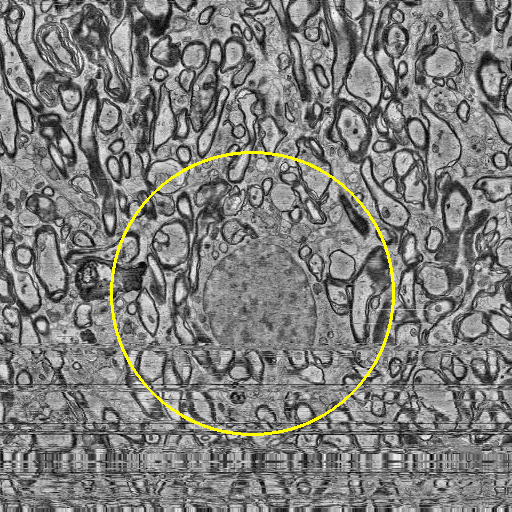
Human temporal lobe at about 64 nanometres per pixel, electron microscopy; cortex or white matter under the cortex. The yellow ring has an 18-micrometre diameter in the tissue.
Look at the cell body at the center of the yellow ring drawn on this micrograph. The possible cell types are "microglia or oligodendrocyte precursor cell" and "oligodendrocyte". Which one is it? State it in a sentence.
The cell in the middle of the ring is an oligodendrocyte.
